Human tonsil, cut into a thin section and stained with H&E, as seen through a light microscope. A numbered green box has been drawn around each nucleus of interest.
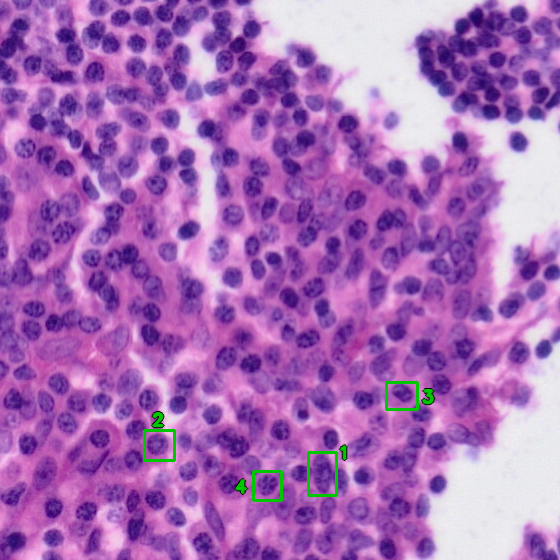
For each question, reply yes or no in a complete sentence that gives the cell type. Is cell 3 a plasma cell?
Yes, that is correct: the cell numbered 3 is a plasma cell.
